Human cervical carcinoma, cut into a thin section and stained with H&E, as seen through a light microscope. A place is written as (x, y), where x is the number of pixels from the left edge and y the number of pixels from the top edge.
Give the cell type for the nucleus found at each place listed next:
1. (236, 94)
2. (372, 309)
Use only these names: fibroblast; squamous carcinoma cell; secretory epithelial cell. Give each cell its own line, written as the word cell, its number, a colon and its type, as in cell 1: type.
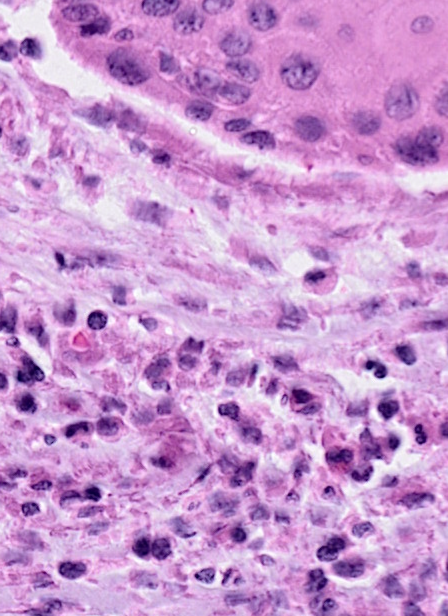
cell 1: squamous carcinoma cell
cell 2: fibroblast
